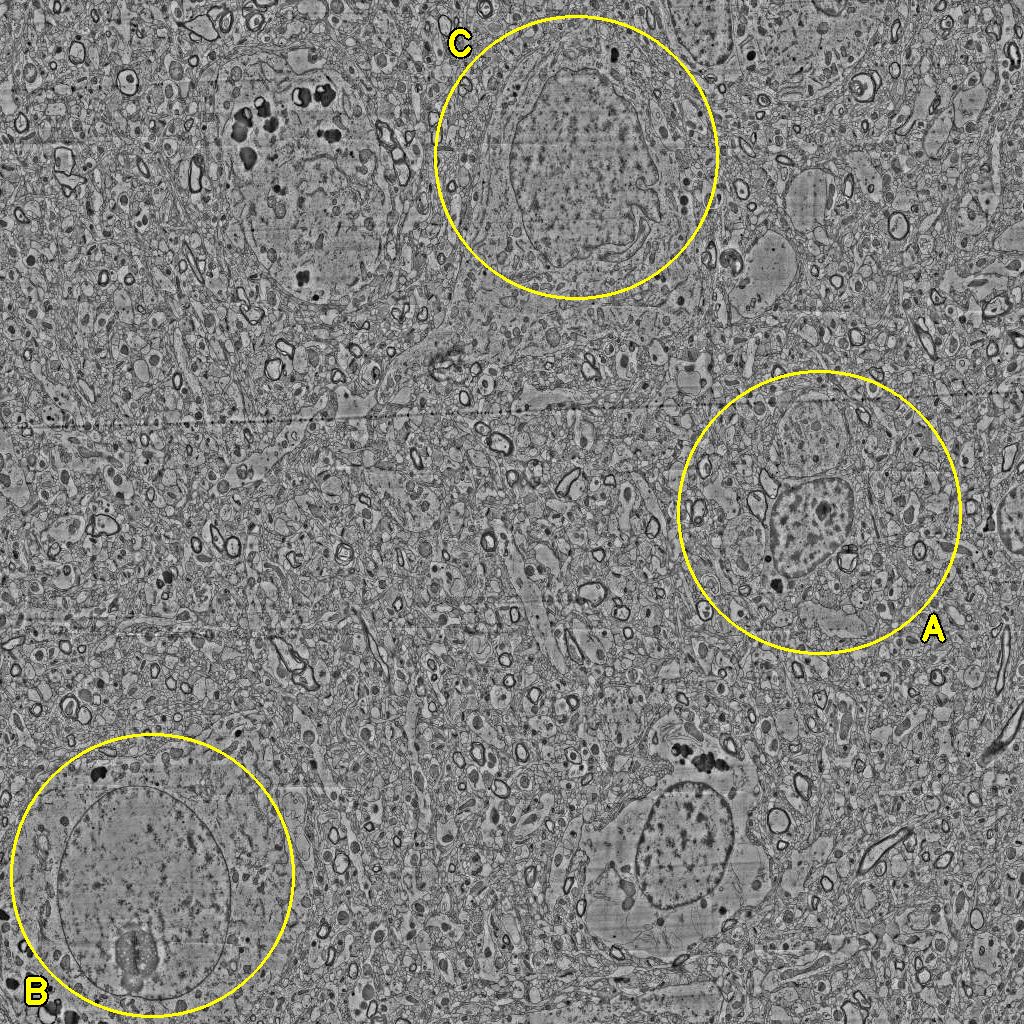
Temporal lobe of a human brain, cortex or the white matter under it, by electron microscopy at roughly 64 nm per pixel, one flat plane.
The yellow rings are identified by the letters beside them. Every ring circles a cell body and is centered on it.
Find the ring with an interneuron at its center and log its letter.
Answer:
C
